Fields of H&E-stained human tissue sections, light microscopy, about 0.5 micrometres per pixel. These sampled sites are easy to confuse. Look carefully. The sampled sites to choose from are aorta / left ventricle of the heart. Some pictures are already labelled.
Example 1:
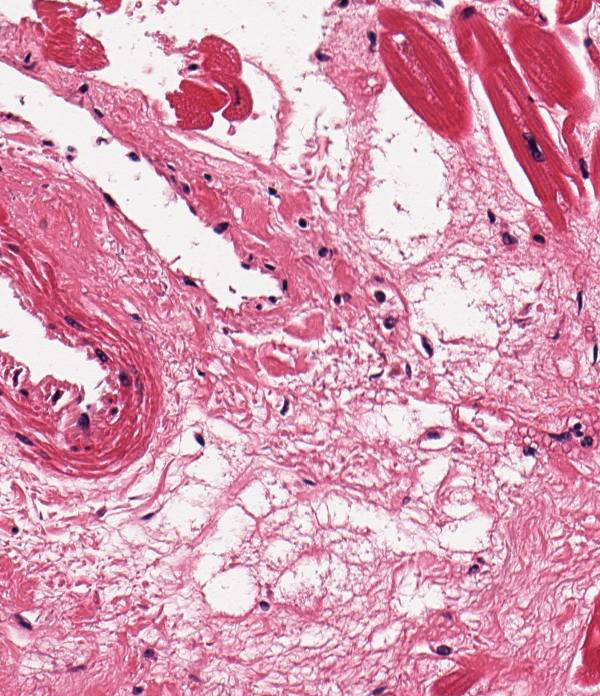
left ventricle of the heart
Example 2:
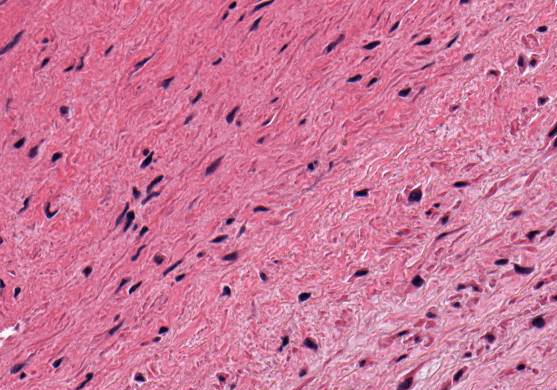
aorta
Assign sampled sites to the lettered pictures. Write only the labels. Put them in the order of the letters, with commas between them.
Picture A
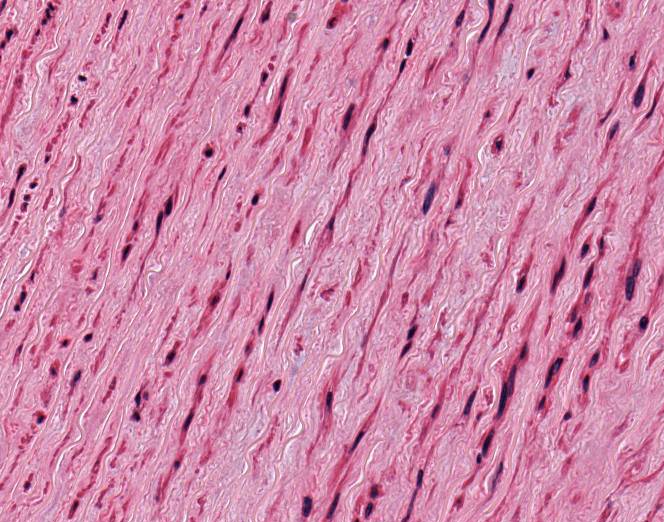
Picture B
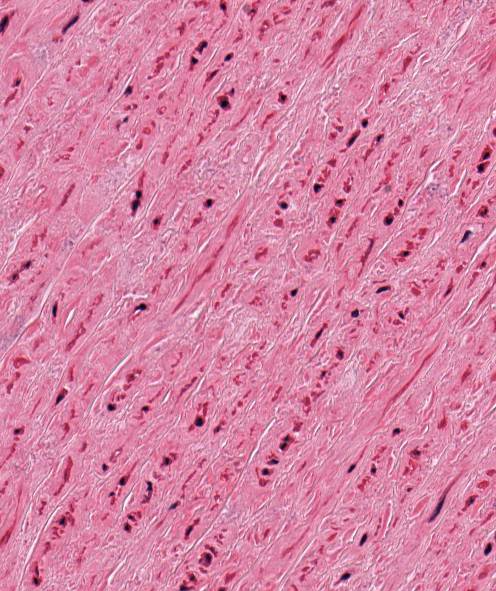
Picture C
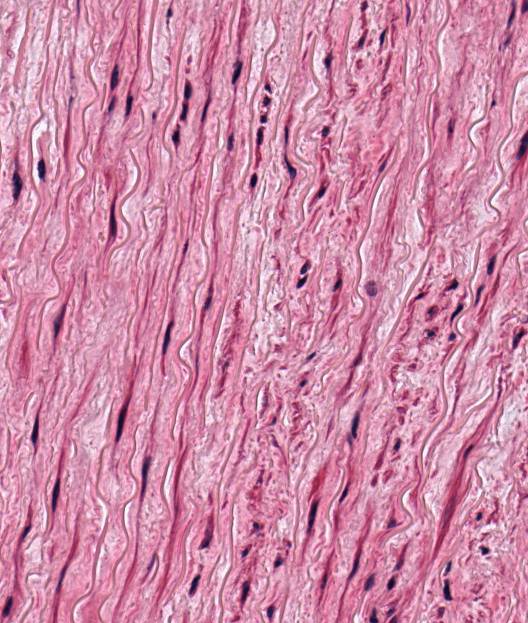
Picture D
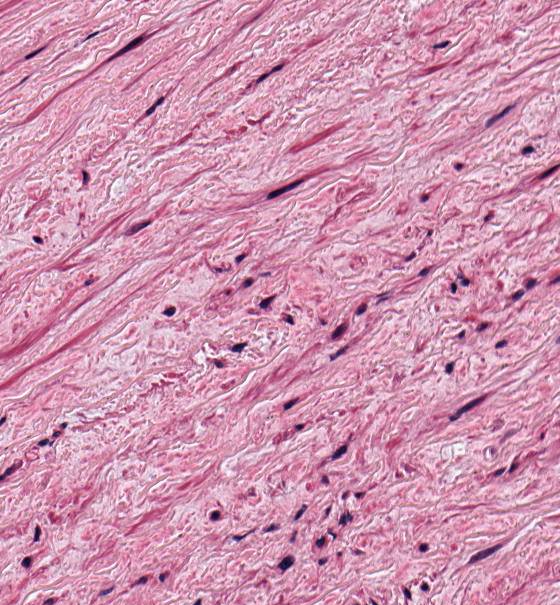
aorta, aorta, aorta, aorta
